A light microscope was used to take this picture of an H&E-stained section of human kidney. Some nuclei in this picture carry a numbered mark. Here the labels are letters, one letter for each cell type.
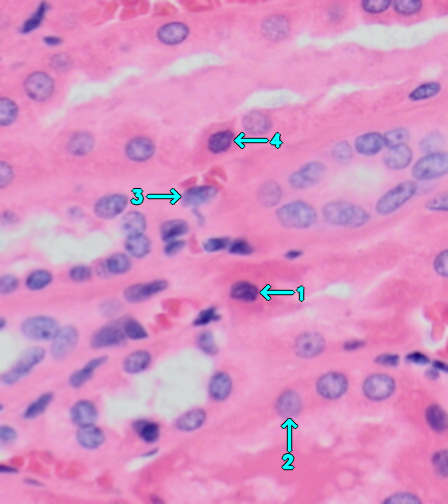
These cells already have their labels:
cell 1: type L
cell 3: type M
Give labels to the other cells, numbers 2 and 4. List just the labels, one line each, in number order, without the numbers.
type L
type L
